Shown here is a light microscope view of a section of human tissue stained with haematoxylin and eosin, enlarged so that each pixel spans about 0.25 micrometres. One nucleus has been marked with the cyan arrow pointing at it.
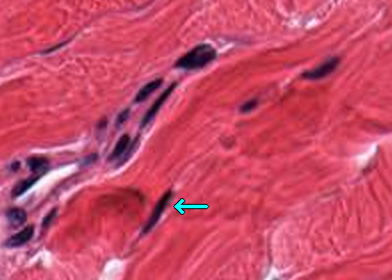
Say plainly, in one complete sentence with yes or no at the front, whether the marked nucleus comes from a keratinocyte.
No, the marked nucleus belongs to a supporting cell of connective tissue, a vessel or the immune system, not to a keratinocyte.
